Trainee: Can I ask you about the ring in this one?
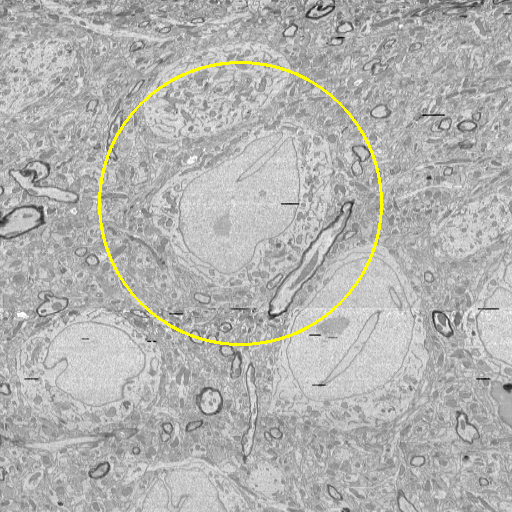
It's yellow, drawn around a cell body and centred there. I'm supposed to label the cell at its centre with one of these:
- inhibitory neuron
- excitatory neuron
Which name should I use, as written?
inhibitory neuron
